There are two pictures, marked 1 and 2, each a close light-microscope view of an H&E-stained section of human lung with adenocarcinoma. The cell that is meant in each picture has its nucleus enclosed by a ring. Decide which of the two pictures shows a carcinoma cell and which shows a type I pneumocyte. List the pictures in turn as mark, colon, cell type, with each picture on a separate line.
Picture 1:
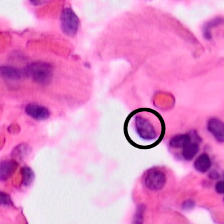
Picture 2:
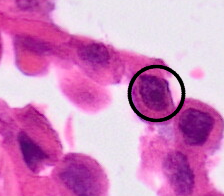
1: type I pneumocyte
2: carcinoma cell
